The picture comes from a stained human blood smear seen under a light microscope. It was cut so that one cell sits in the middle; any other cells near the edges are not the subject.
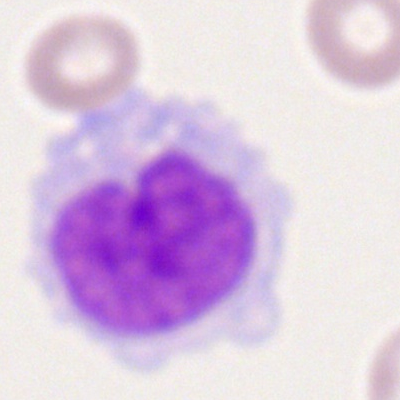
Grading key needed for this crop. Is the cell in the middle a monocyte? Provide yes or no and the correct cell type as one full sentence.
Yes, the middle cell of the field is a monocyte.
